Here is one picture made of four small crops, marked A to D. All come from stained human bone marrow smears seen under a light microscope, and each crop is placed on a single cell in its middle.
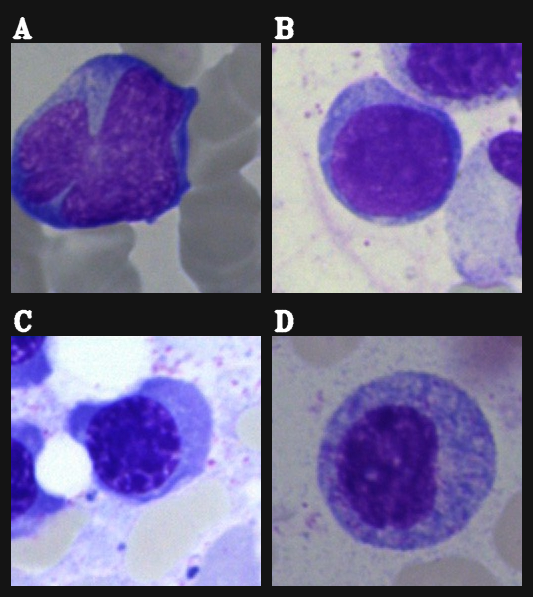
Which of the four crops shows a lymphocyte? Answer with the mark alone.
B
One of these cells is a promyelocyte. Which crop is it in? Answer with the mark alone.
D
